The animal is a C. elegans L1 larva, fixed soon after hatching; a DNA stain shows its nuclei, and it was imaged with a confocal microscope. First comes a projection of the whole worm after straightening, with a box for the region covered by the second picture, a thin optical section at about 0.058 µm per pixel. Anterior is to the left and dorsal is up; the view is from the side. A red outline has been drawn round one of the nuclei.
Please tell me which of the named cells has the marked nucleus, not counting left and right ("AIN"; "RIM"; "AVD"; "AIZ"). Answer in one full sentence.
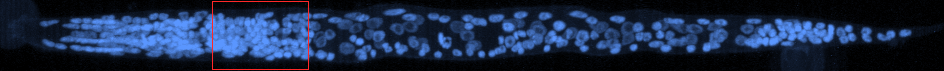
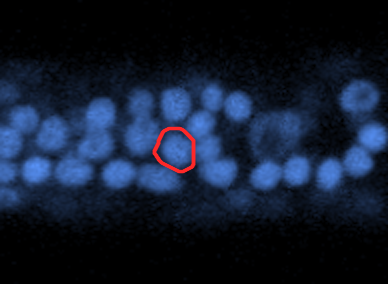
The cell whose nucleus is marked is RIM, a neuron.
